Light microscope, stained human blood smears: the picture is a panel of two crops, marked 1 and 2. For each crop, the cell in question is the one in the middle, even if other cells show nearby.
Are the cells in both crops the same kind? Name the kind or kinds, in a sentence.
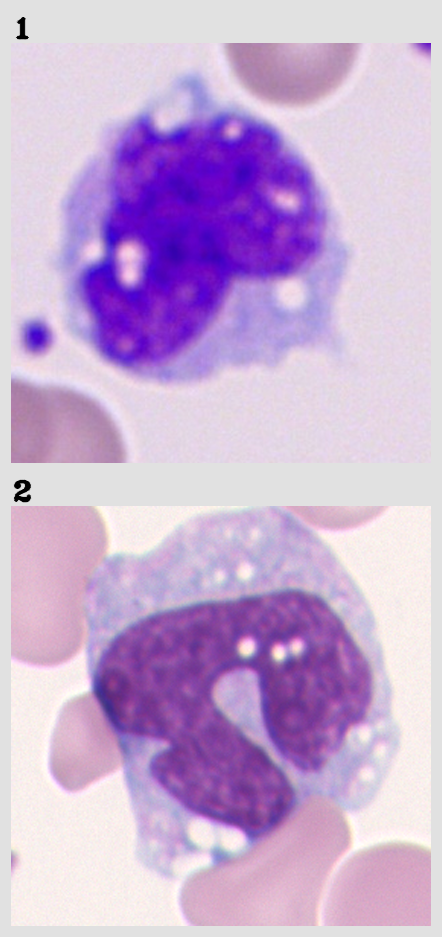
Yes, the cells that the two crops centre on are monocytes.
